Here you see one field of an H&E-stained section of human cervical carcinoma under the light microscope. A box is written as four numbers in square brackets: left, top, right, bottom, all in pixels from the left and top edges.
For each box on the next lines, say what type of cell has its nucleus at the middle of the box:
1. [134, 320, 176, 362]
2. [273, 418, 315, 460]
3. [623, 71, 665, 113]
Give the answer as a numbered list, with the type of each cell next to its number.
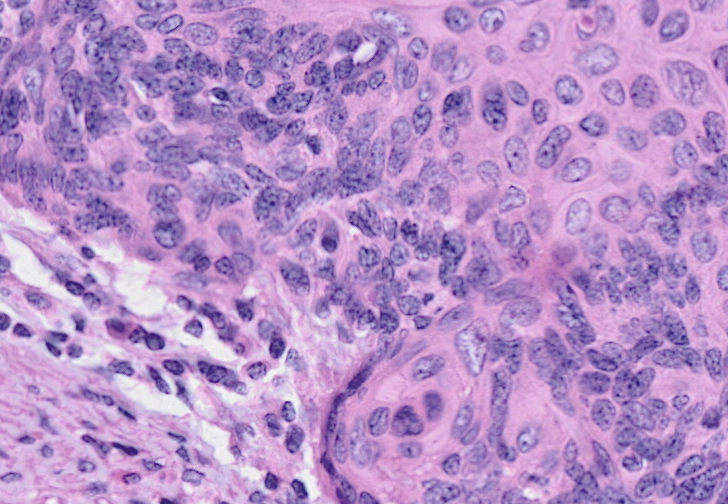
1. lymphocyte
2. lymphocyte
3. squamous carcinoma cell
